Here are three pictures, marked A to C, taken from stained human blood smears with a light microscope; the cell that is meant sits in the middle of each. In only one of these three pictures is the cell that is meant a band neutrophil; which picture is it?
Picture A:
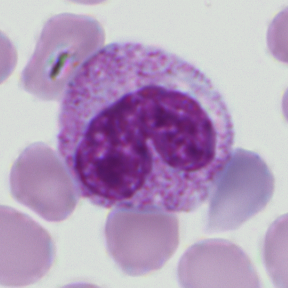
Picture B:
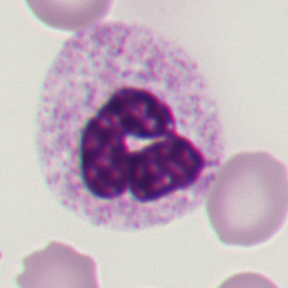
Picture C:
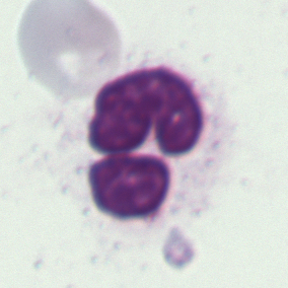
A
